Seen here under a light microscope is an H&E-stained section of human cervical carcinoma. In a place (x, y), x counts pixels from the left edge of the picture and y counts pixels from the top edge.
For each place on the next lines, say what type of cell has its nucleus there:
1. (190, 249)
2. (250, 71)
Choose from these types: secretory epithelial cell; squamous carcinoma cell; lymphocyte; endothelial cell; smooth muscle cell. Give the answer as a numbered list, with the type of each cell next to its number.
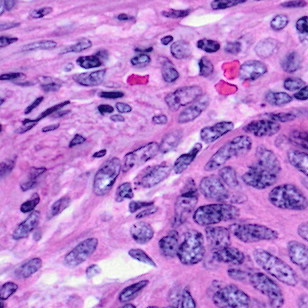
1. squamous carcinoma cell
2. endothelial cell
